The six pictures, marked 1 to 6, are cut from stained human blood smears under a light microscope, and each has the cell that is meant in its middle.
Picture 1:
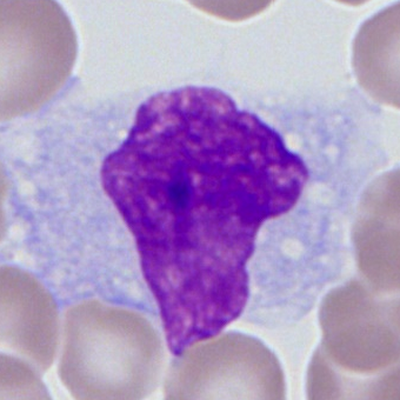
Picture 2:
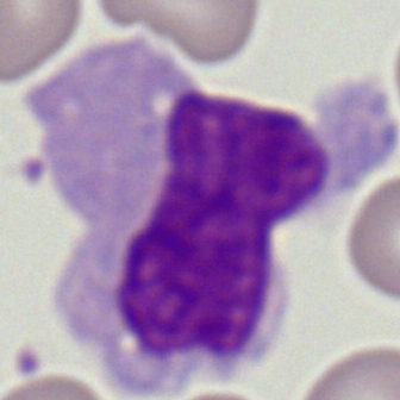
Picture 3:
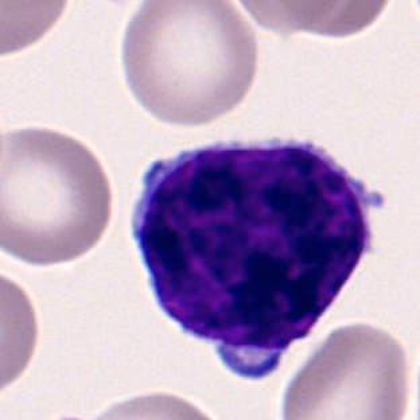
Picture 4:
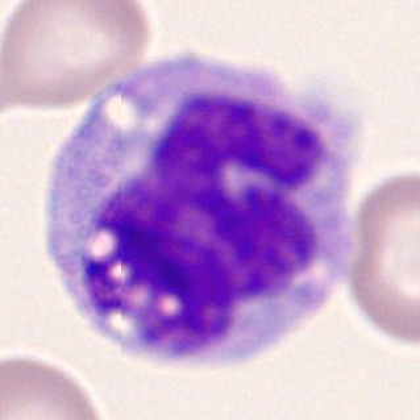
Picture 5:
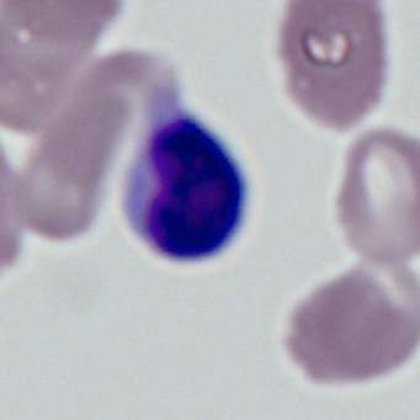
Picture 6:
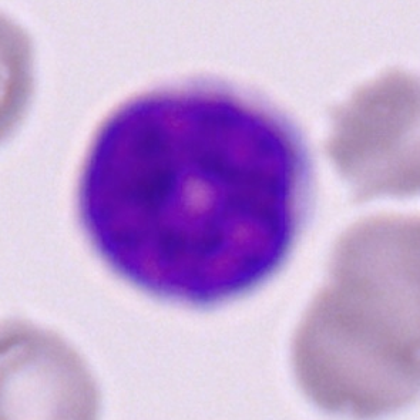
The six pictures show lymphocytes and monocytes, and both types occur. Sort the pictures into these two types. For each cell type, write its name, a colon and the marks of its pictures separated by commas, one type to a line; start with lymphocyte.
lymphocyte: 3, 5, 6
monocyte: 1, 2, 4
